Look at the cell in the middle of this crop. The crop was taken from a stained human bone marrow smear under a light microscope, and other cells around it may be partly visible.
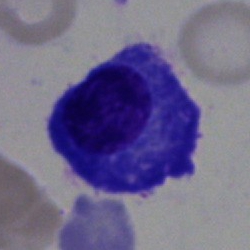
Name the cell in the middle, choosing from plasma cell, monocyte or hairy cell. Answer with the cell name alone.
plasma cell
